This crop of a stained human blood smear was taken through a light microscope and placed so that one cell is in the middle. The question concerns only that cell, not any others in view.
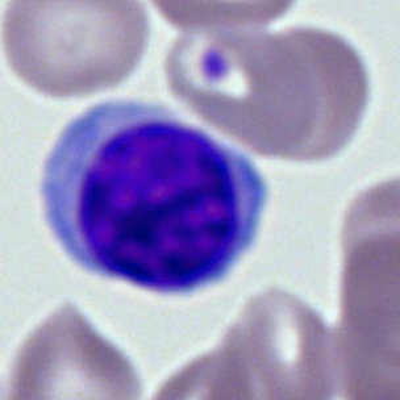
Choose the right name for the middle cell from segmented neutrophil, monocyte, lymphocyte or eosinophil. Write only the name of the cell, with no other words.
lymphocyte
